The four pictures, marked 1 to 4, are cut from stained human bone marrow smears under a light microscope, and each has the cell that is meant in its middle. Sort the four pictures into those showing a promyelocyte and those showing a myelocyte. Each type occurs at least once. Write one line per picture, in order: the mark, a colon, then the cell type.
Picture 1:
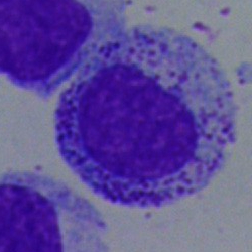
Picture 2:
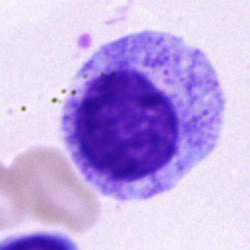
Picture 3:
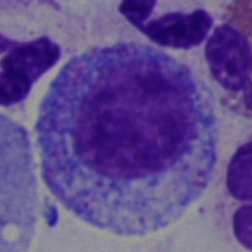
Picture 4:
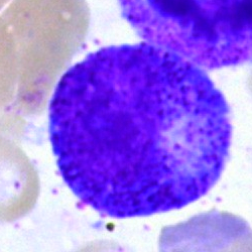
1: myelocyte
2: myelocyte
3: promyelocyte
4: promyelocyte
